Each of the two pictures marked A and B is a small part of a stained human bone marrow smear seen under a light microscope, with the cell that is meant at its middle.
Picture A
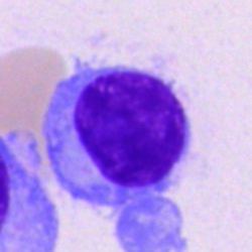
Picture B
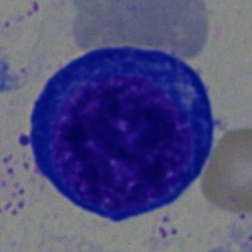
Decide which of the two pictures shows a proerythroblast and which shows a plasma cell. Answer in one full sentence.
In picture A the cell is a plasma cell; in picture B, a proerythroblast.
